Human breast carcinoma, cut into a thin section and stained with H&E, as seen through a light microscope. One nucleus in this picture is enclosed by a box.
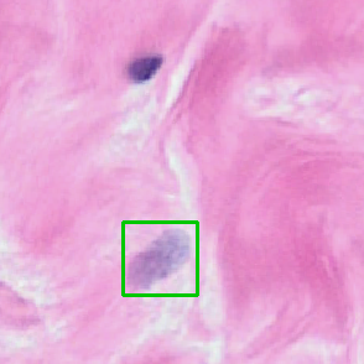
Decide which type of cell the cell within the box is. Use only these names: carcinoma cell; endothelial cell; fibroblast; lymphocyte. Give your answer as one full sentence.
To be brief about it, the cell within the box is a fibroblast.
